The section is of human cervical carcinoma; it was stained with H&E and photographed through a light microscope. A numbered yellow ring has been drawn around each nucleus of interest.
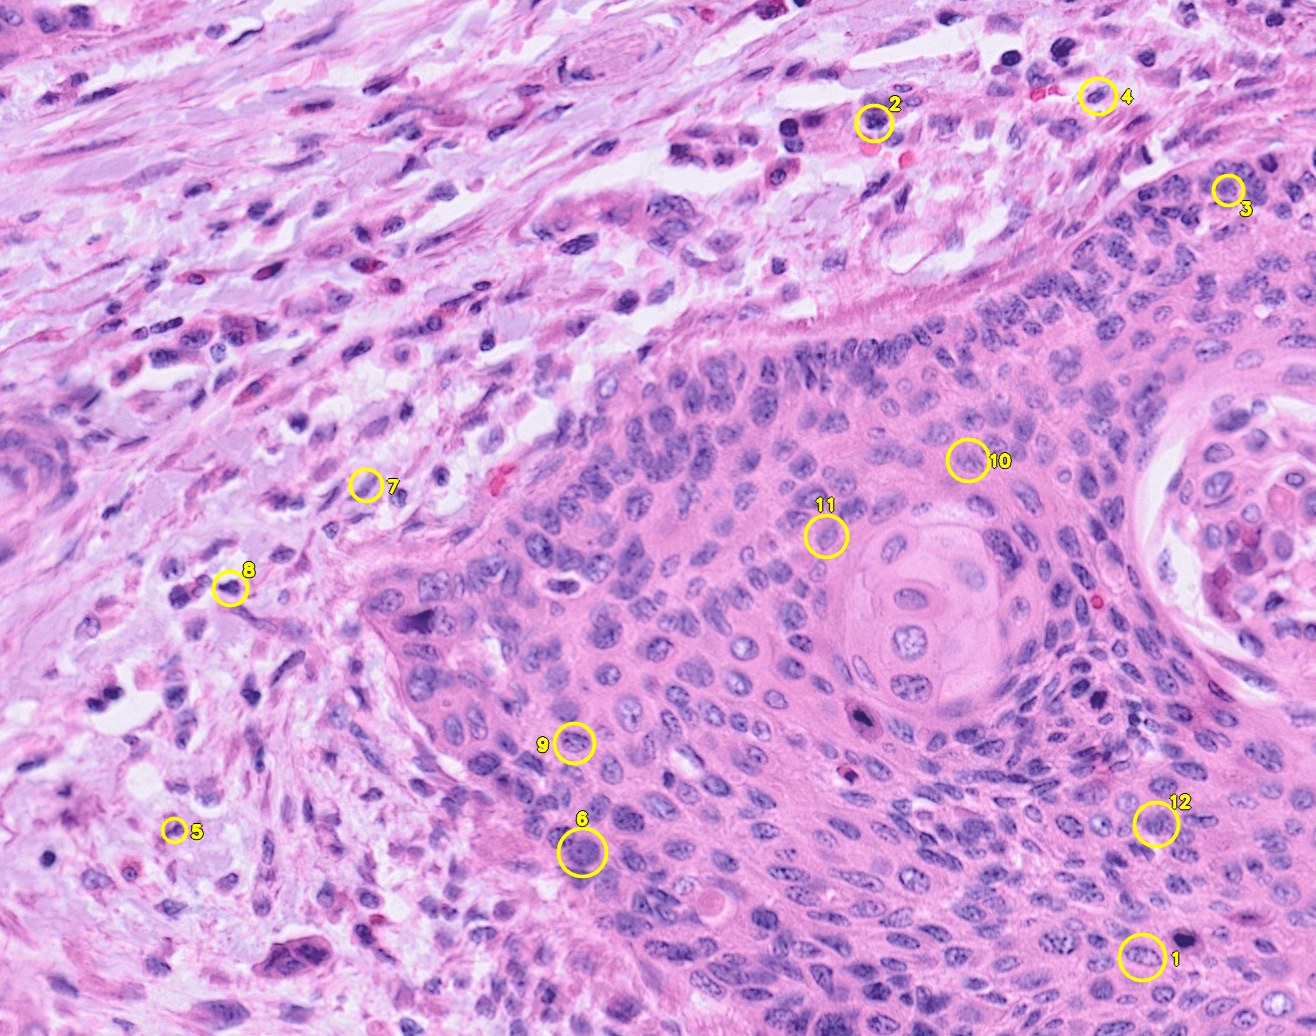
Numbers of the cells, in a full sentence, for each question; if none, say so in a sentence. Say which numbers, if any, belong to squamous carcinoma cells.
The cells that bear the numbers 1, 3, 6, 9, 10, 11 and 12 are squamous carcinoma cells.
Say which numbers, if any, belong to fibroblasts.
To be specific, the cells numbered 5 and 7 are fibroblasts.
